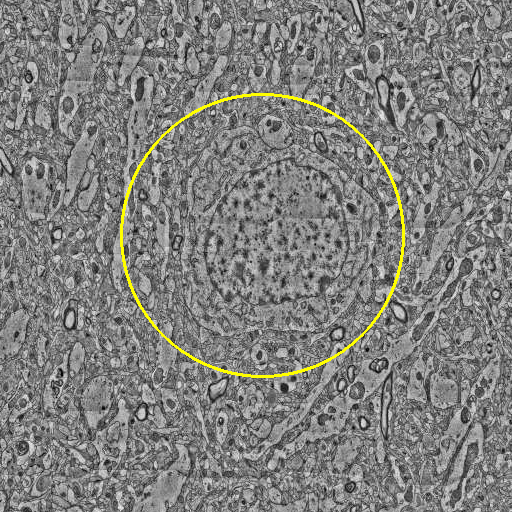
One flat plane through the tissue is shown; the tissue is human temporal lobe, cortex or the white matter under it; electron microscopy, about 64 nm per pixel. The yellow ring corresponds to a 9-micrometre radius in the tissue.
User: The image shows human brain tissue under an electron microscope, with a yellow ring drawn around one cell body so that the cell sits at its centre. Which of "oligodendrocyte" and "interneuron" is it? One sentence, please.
At the centre of the ring sits an interneuron.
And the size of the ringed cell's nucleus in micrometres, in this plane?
The nucleus appears roughly 10 by 9 micrometres in this plane.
